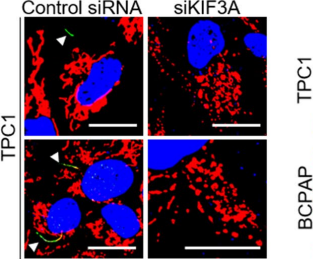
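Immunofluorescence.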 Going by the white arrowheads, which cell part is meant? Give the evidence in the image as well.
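Primary cilia. The arrowheads point at short, thin green rods.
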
